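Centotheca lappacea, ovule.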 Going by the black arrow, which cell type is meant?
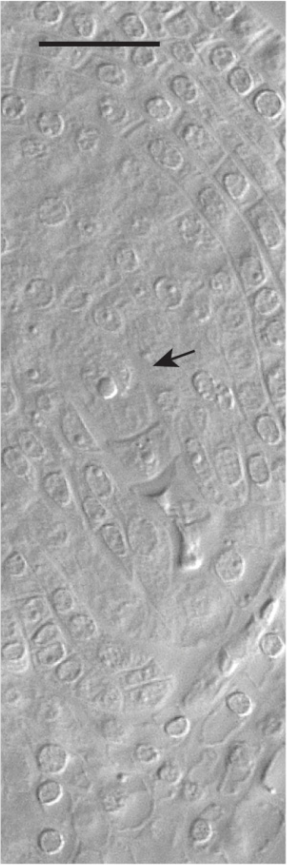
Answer: functional megaspore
